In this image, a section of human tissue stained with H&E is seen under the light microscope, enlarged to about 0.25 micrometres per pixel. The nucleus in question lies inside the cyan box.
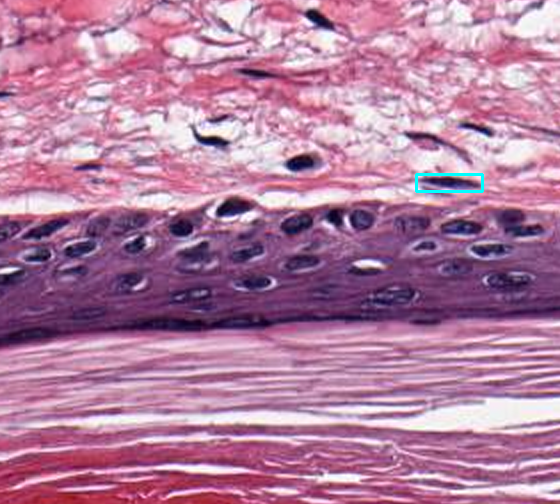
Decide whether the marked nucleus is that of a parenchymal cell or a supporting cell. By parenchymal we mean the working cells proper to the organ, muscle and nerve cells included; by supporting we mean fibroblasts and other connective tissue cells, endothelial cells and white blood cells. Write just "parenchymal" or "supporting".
supporting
